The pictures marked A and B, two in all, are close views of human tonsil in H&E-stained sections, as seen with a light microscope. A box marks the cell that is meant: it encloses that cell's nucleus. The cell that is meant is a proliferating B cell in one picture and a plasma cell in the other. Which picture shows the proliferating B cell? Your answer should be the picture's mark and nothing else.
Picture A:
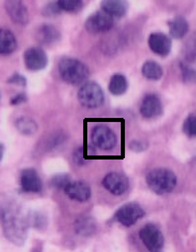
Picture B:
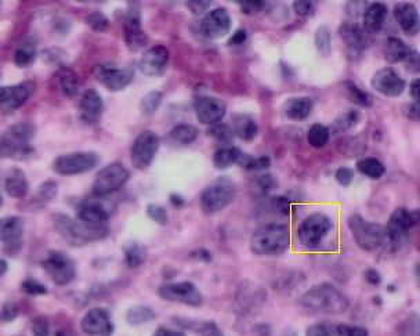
B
